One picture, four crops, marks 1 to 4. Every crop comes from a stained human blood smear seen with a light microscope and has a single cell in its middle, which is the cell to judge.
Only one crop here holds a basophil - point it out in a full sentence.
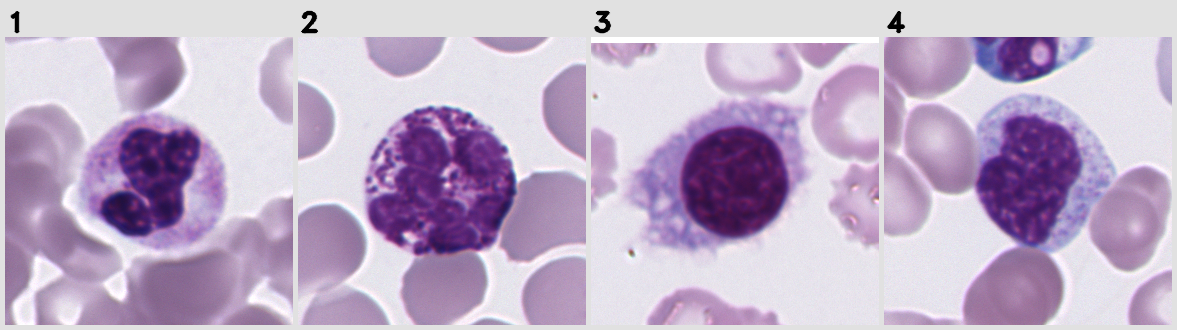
In this set, crop 2 is the one showing a basophil.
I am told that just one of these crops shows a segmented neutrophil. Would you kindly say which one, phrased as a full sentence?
Among the crops, only crop 1 contains a segmented neutrophil.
